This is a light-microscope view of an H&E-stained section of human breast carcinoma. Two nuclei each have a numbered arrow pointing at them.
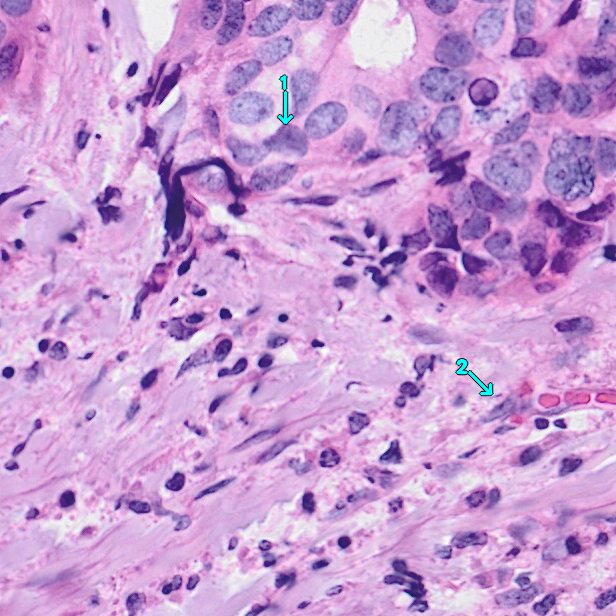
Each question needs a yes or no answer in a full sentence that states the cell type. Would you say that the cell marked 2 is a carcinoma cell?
No, as for cell 2, it is an endothelial cell and not a carcinoma cell.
